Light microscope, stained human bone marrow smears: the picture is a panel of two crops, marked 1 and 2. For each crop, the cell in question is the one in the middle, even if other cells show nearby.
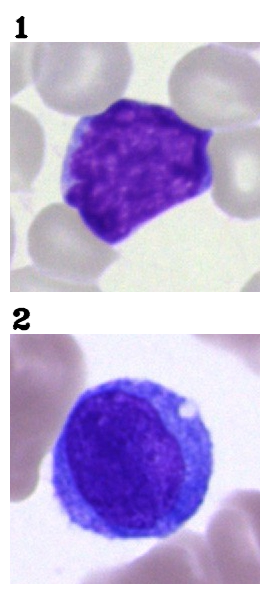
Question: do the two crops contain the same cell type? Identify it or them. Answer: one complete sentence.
Yes, both crops show blasts, one in each.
